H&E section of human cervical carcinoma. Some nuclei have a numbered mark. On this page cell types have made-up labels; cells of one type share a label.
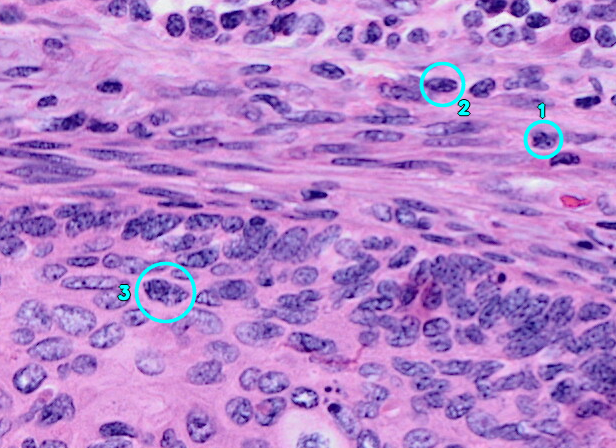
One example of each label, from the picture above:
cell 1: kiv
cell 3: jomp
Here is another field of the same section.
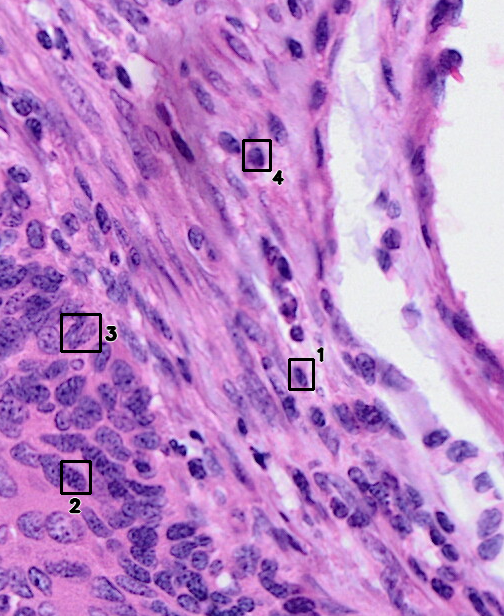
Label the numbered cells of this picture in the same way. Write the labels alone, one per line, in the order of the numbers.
kiv
jomp
jomp
kiv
